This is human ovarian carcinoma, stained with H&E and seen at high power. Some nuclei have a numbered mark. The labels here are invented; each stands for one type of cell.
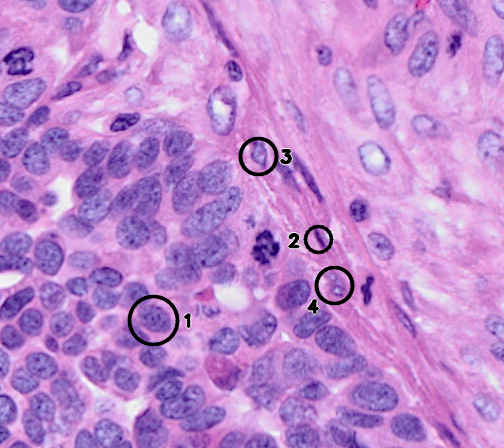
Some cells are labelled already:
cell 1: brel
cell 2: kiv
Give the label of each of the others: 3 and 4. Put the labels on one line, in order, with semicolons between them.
kiv; kiv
